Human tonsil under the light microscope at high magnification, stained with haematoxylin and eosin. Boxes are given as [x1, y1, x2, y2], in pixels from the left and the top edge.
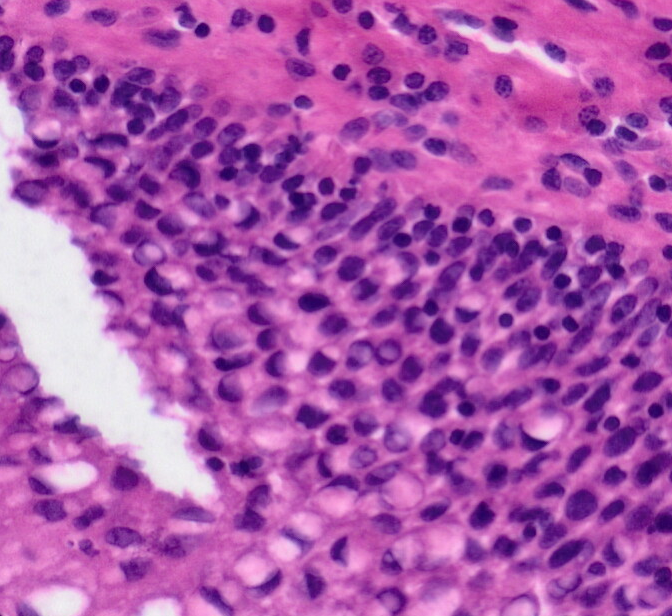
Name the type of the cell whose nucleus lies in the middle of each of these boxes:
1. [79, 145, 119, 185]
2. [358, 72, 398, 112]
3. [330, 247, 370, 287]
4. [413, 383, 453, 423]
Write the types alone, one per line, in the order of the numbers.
squamous epithelial cell
plasma cell
squamous epithelial cell
squamous epithelial cell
